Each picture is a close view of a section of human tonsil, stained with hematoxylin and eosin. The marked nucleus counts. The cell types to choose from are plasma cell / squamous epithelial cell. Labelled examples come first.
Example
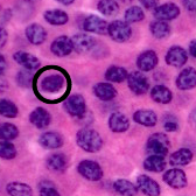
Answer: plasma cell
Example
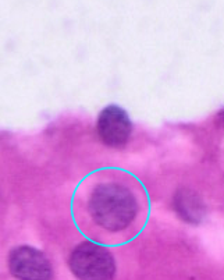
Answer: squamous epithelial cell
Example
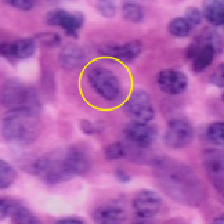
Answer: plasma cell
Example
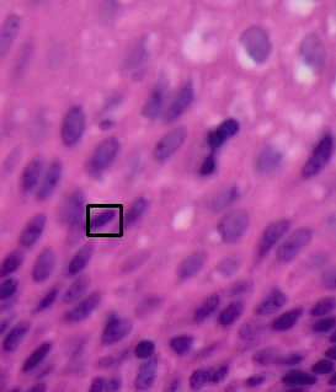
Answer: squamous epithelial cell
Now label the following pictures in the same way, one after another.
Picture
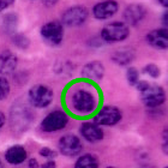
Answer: plasma cell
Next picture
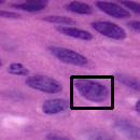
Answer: squamous epithelial cell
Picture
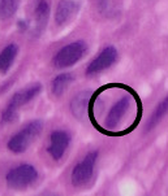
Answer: squamous epithelial cell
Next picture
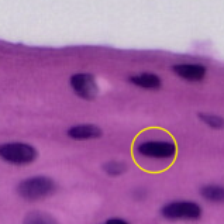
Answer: squamous epithelial cell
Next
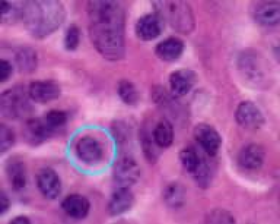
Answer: plasma cell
